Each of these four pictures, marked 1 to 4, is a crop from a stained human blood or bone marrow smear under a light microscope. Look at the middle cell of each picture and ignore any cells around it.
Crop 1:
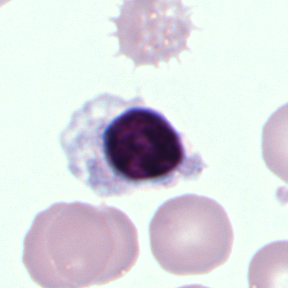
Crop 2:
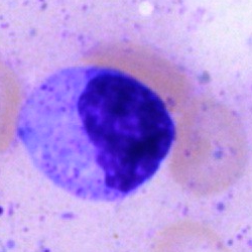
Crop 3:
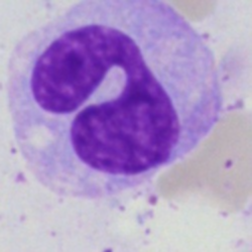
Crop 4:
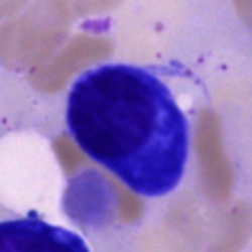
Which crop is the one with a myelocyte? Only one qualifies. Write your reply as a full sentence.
The cell at the center of crop 2 is the one that is a myelocyte.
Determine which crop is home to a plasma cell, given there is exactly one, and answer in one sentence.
Crop 4, and no other, shows a plasma cell.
